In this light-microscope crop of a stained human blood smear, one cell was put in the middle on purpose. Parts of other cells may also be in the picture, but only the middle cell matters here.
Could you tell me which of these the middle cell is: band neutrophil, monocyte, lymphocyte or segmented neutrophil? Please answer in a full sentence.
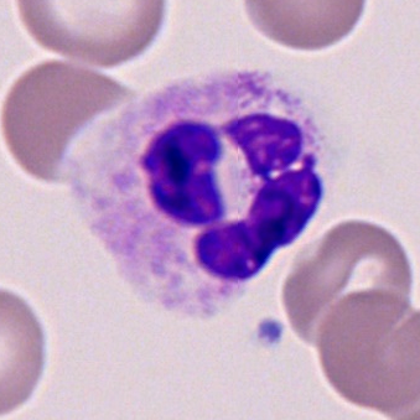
Located at the centre of the crop is a segmented neutrophil.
